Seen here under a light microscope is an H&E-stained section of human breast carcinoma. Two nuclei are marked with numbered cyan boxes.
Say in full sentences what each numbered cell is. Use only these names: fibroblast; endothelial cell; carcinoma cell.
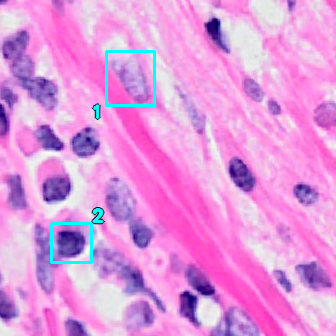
Cell 1 is a fibroblast and cell 2 is a carcinoma cell.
